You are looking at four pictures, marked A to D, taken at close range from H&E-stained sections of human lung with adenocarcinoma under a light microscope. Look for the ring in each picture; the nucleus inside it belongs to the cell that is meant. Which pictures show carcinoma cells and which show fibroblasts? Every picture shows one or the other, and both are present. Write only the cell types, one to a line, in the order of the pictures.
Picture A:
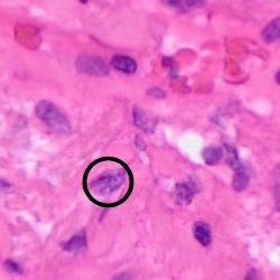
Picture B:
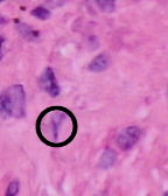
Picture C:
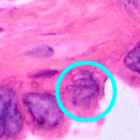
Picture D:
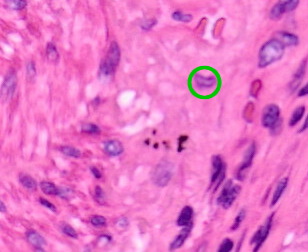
fibroblast
fibroblast
carcinoma cell
fibroblast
